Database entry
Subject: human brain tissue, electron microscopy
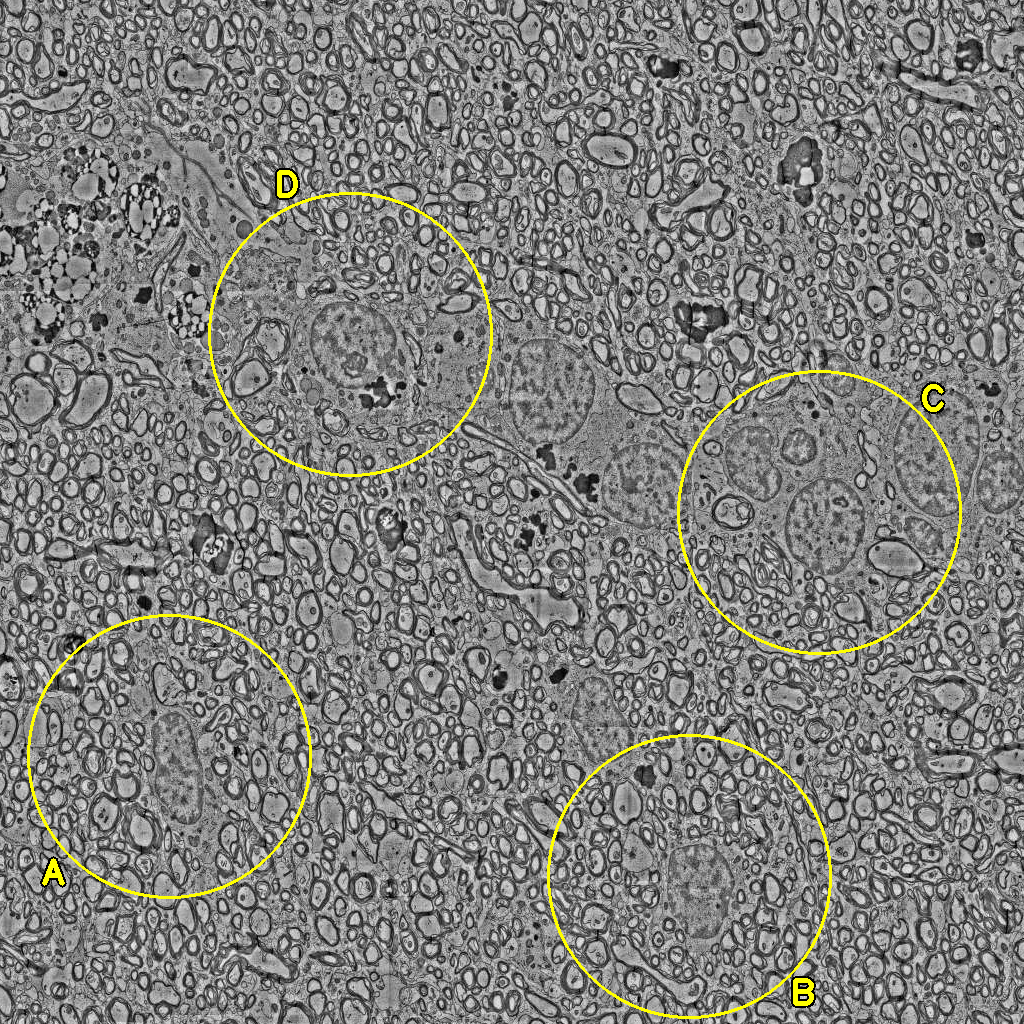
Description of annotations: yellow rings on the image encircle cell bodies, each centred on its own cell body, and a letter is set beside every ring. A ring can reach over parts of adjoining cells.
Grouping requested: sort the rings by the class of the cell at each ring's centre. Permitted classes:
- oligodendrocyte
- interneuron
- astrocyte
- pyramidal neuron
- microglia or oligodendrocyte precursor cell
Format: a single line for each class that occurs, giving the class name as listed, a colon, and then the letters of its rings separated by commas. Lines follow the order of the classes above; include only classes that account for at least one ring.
oligodendrocyte: A, B, C, D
